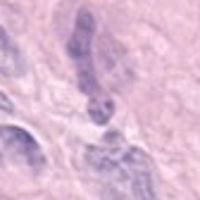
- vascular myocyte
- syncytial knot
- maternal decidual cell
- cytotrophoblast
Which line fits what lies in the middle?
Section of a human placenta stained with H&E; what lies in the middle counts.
vascular myocyte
